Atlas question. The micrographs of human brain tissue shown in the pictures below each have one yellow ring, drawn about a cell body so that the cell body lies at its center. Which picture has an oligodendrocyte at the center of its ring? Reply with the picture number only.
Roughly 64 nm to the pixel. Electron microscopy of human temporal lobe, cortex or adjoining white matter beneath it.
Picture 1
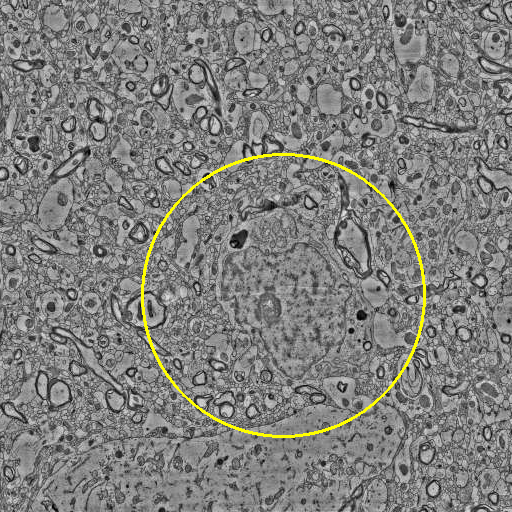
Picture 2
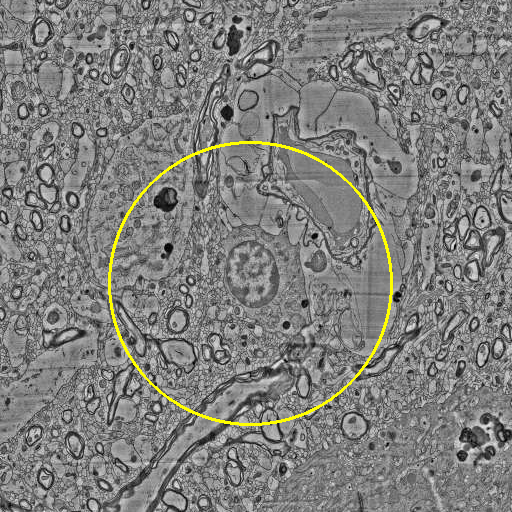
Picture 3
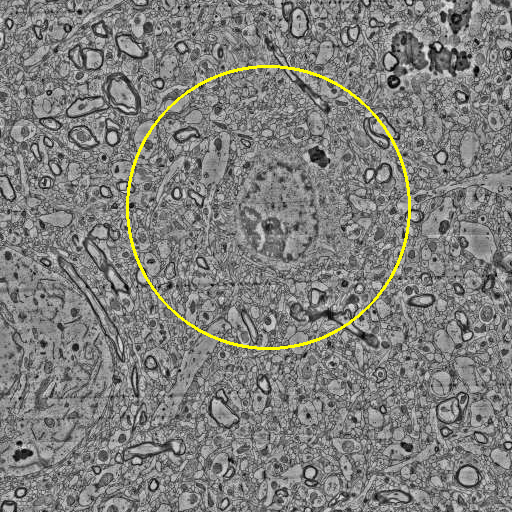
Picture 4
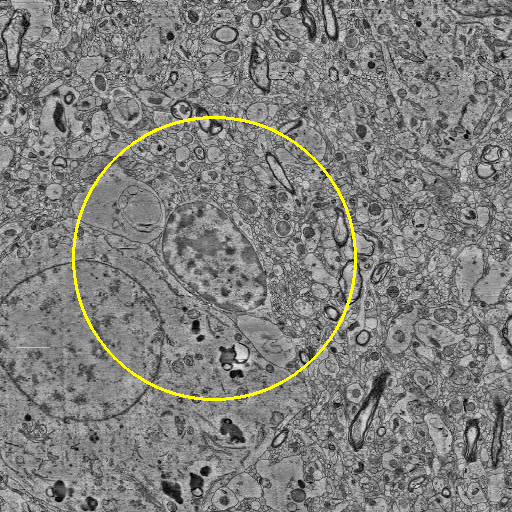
2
